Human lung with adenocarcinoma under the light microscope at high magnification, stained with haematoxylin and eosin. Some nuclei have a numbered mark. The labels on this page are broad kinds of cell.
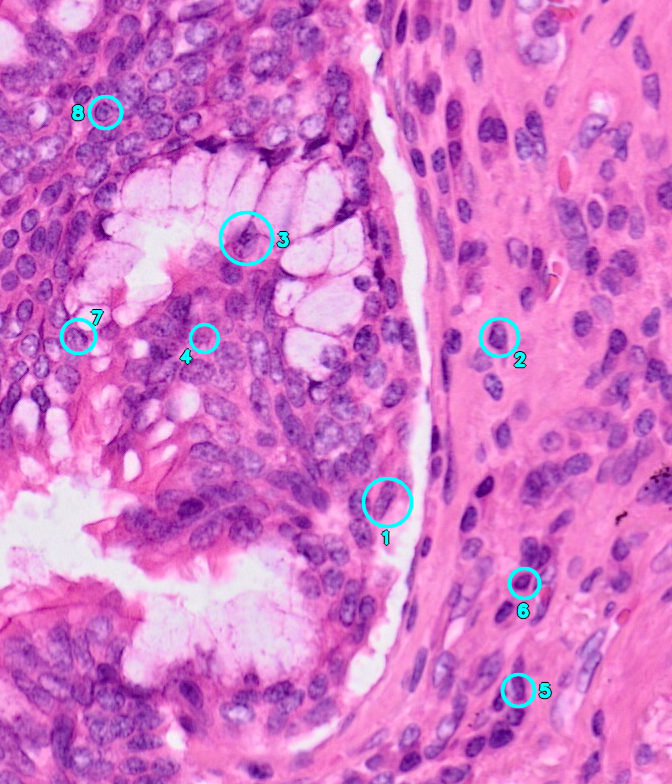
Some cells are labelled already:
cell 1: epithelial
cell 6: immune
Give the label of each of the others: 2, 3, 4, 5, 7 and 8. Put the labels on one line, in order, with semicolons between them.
immune; epithelial; epithelial; immune; epithelial; epithelial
